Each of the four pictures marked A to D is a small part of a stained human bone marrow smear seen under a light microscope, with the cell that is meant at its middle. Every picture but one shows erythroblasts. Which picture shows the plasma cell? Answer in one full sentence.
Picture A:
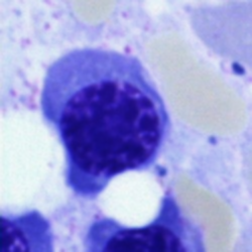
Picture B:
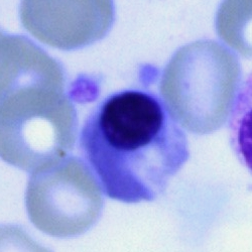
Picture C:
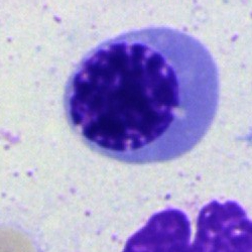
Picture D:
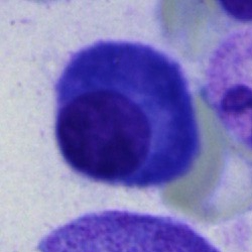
The picture with the plasma cell is D.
